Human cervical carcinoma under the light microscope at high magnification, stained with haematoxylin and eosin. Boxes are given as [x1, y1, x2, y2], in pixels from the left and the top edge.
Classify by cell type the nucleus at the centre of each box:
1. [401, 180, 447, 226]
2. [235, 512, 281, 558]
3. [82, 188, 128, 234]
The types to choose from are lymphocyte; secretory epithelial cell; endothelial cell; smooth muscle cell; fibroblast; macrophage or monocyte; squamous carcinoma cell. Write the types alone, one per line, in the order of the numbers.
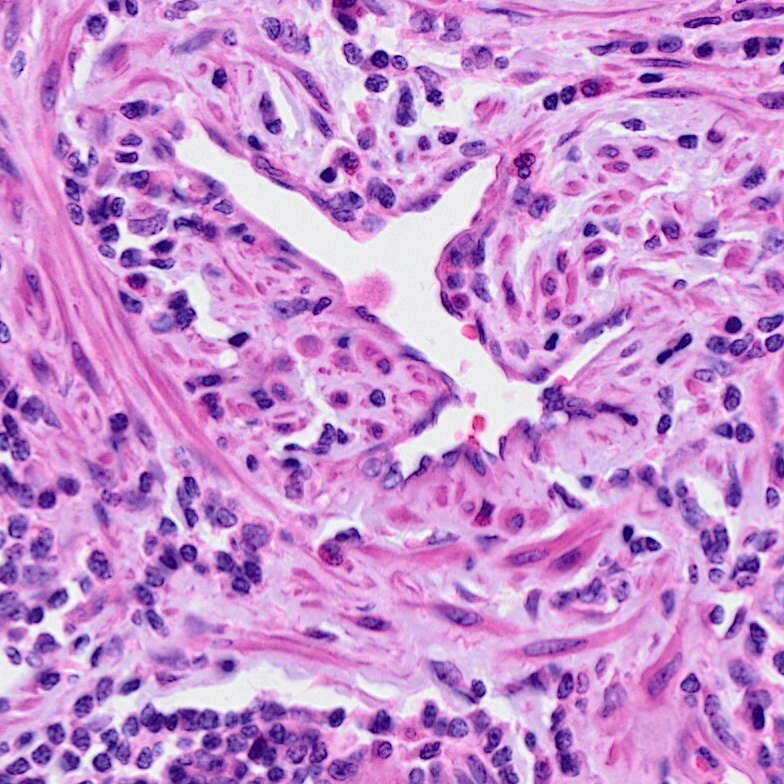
endothelial cell
macrophage or monocyte
lymphocyte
